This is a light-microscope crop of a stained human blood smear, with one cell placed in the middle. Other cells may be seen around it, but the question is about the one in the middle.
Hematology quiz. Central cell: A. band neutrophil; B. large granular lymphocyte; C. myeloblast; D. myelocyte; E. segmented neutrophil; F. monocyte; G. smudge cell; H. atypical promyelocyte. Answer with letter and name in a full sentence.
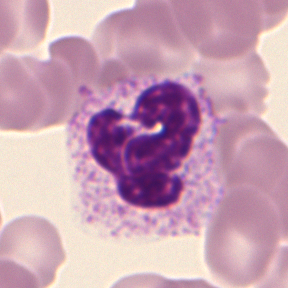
The cell occupying the centre is a segmented neutrophil; option E is thus the correct choice.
